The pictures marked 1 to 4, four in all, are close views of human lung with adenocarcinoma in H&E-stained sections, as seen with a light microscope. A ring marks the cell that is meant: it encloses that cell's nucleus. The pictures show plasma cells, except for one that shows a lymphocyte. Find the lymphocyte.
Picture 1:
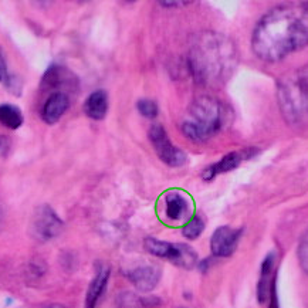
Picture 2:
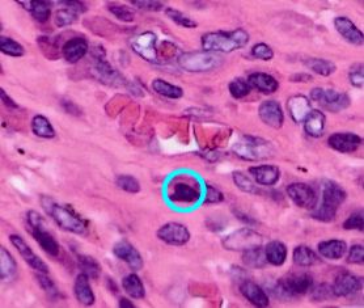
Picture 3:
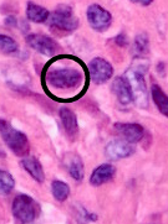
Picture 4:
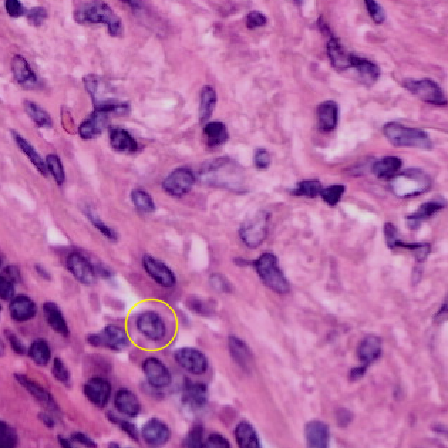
1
